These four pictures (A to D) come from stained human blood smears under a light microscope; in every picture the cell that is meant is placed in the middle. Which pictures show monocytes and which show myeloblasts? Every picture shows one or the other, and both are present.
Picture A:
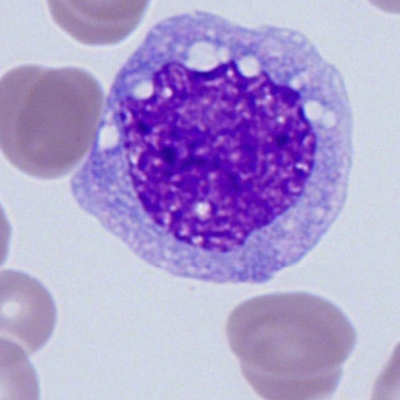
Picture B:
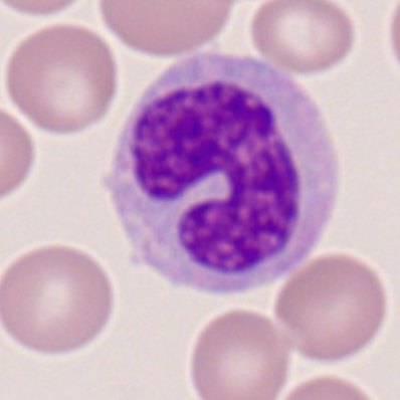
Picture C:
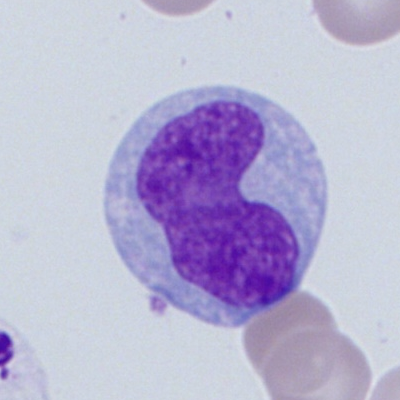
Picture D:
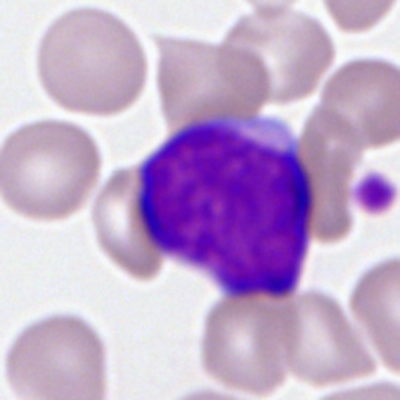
A: monocyte
B: monocyte
C: monocyte
D: myeloblast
